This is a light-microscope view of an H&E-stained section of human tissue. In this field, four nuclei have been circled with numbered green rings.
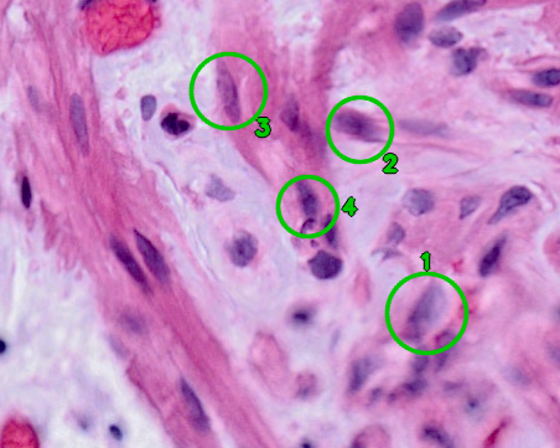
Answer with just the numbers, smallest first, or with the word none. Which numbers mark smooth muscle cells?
2, 3, 4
